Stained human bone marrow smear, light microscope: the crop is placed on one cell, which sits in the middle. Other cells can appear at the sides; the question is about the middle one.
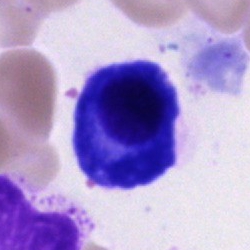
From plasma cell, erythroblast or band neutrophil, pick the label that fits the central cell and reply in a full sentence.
Occupying the centre of the crop is a plasma cell.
